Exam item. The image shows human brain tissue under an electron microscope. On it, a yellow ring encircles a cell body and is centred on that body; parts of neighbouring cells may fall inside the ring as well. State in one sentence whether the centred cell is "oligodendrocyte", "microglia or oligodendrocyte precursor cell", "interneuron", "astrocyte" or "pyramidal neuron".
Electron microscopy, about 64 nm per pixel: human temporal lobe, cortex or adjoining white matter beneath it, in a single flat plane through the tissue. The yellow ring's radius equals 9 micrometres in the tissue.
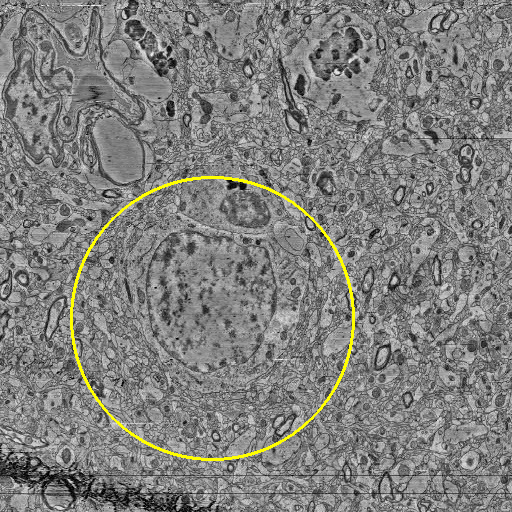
The cell body centred in the ring is an interneuron.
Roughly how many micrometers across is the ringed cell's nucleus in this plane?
Roughly 9 micrometers across in this plane.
